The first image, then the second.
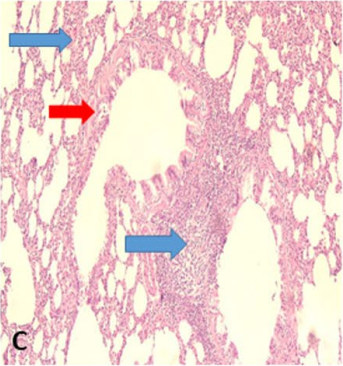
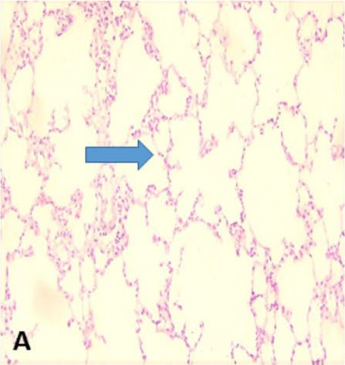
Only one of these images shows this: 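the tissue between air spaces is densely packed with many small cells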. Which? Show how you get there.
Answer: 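First image: a large dense purple cellular area with thick walls around air spaces. Second image: thin delicate septa with few nuclei around open air spaces.
Conclusion: the first image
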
